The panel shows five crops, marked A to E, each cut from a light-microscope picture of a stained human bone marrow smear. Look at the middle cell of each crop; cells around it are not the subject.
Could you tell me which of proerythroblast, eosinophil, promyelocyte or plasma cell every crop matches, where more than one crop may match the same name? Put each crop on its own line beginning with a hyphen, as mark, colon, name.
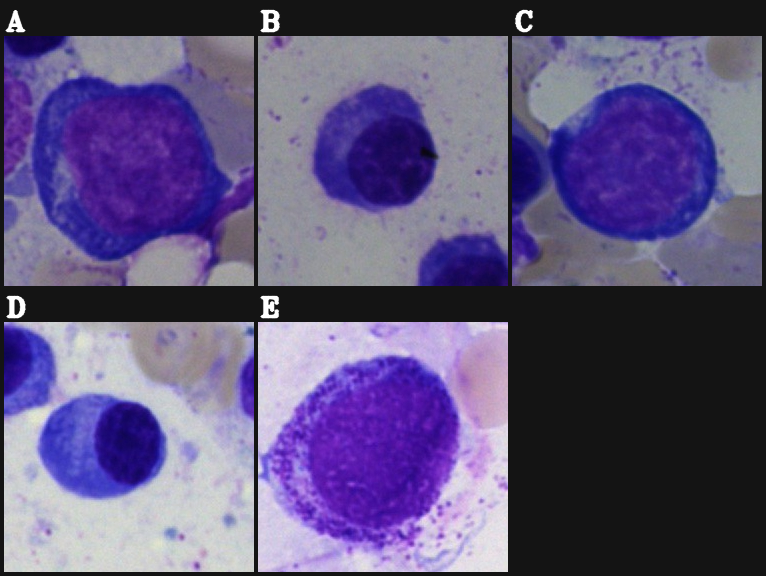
- A: proerythroblast
- B: plasma cell
- C: proerythroblast
- D: plasma cell
- E: promyelocyte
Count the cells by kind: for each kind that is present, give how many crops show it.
proerythroblast: 2
plasma cell: 2
promyelocyte: 1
